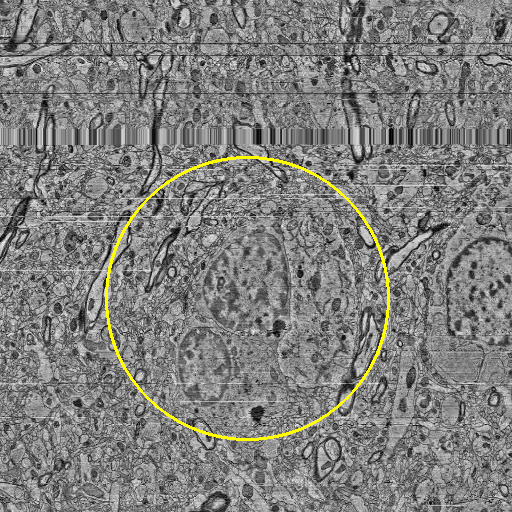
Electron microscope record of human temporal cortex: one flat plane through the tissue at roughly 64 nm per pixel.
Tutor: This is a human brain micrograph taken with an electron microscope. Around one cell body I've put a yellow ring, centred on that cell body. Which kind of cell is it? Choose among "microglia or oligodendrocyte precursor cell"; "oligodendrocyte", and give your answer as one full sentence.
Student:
Going by your list, the cell centred in the yellow ring is an oligodendrocyte.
